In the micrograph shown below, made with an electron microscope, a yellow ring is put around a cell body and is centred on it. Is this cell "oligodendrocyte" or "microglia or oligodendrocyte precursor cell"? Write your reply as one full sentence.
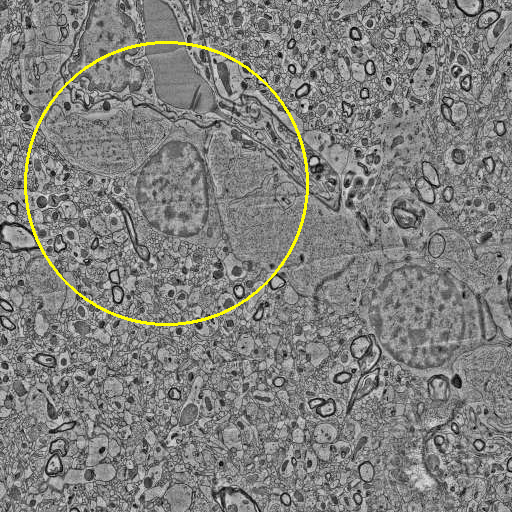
In the micrograph, an oligodendrocyte is the cell at the centre of the yellow ring.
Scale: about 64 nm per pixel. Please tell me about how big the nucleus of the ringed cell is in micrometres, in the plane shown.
The nucleus measures about 6 by 5 micrometres in this plane.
